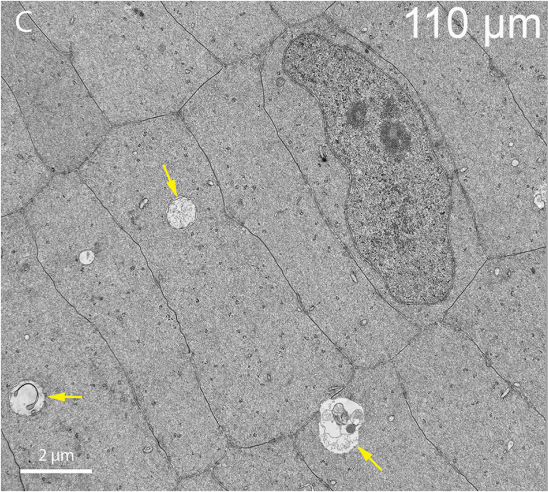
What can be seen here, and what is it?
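This transmission electron micrograph shows lens fiber cells in cross-section as polygonal profiles of uneven size with somewhat rounded corners, separated by thin dark membranes. One cell holds an elongated, slightly irregular nucleus with granular chromatin and darker patches of nucleolus. The cytoplasm is a homogeneous grey with few organelles, and a few pale round vesicles, some with inner membranes, lie scattered among the cells.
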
